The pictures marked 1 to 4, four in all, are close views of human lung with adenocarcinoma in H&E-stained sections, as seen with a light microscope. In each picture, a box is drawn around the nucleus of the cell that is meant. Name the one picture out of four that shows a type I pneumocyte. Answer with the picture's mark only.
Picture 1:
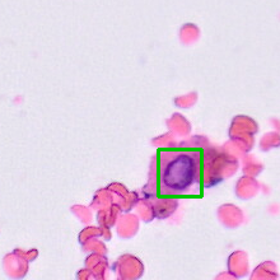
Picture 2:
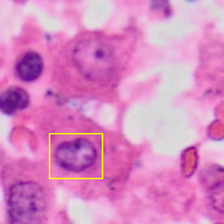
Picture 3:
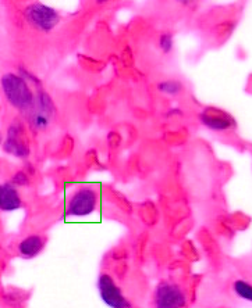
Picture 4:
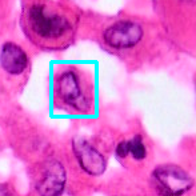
3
